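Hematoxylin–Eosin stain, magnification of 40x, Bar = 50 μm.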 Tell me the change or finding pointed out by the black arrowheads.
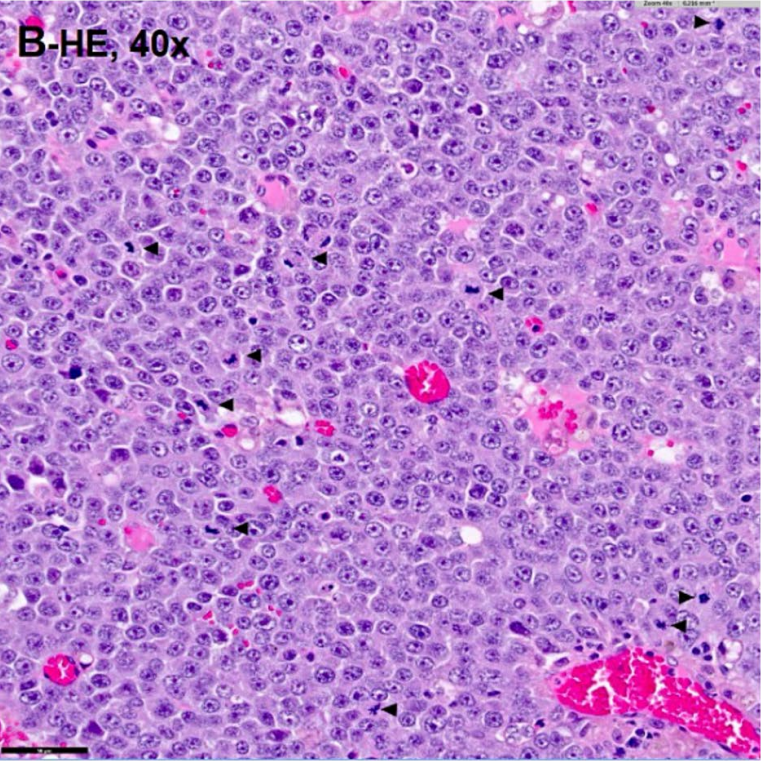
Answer: High mitotic index.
